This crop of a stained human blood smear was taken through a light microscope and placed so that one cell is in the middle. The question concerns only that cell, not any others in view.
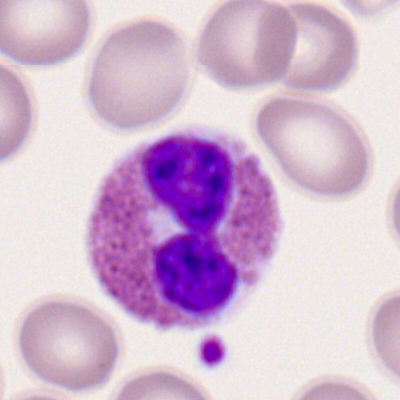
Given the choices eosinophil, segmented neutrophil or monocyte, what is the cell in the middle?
eosinophil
